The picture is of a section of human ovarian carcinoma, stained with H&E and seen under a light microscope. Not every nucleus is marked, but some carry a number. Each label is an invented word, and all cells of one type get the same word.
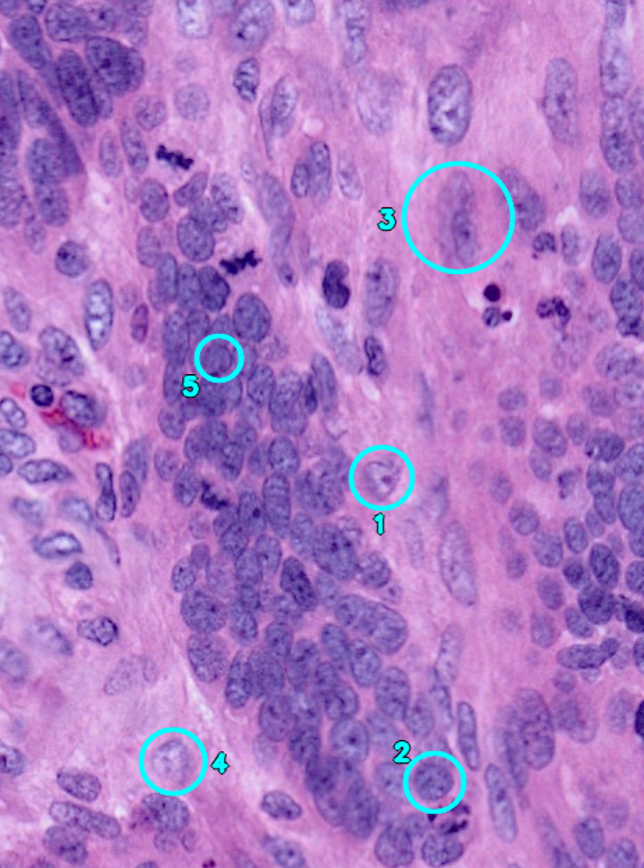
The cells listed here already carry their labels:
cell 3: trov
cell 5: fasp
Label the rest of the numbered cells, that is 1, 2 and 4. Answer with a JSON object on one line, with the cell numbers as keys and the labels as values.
{"1": "trov", "2": "fasp", "4": "trov"}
